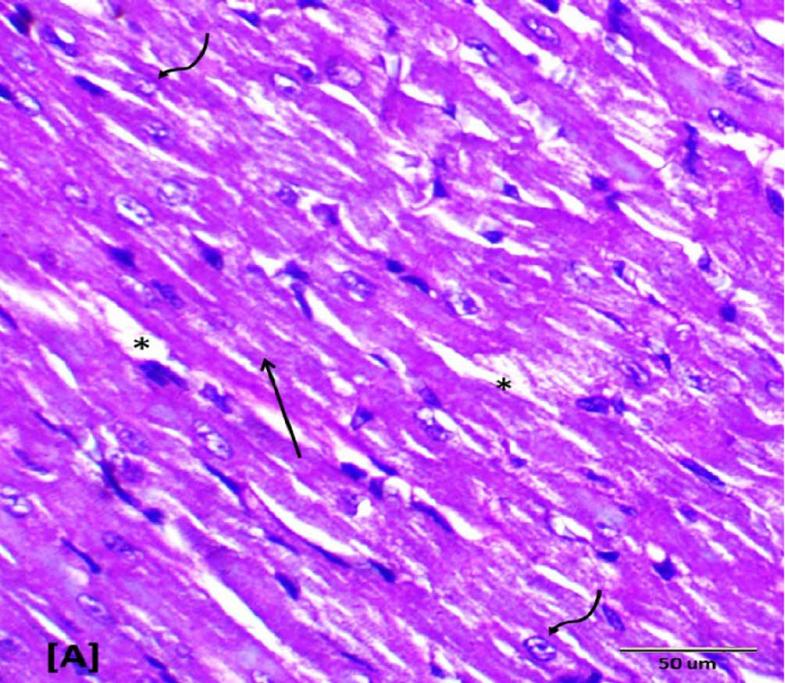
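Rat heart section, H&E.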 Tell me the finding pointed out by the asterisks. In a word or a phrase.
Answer: Widened spaces between the cardiac muscle fibers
